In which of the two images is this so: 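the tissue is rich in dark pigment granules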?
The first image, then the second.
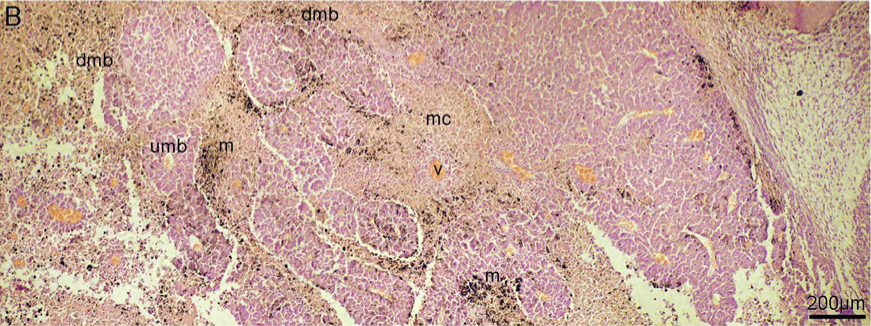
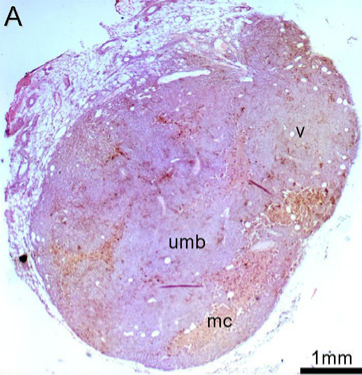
The first image.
